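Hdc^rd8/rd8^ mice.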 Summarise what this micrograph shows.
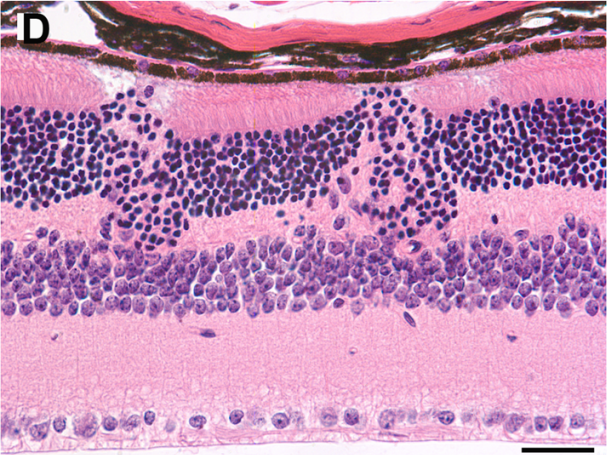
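The dark brown pigmented epithelium and the pale pink photoreceptor segment band lie at the top. Below them, the band of small dark nuclei is irregular. Clusters and columns of these nuclei push up into the segment layer and stream down across the thin pale band toward the layer of larger, paler nuclei. The inner fibrous pink layer and the single inner row of nuclei look regular.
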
